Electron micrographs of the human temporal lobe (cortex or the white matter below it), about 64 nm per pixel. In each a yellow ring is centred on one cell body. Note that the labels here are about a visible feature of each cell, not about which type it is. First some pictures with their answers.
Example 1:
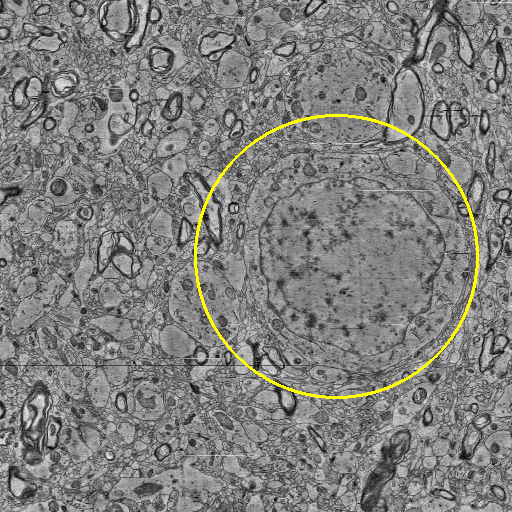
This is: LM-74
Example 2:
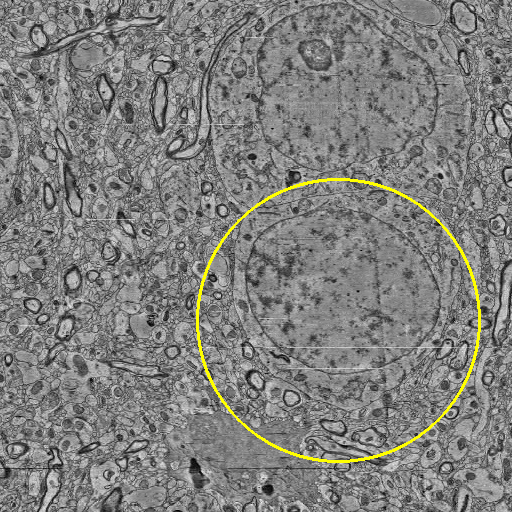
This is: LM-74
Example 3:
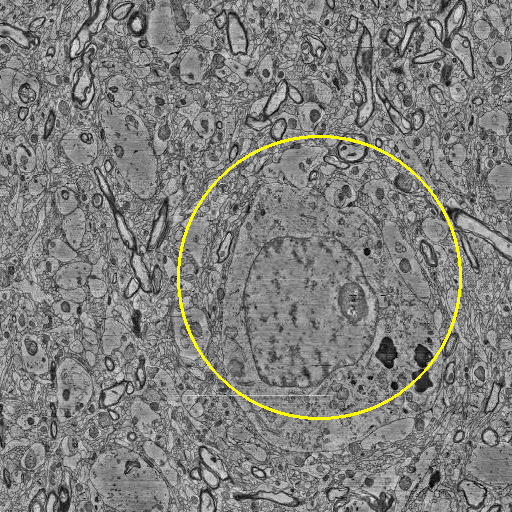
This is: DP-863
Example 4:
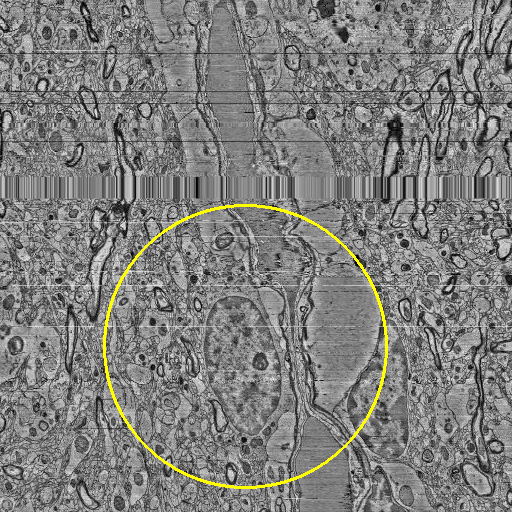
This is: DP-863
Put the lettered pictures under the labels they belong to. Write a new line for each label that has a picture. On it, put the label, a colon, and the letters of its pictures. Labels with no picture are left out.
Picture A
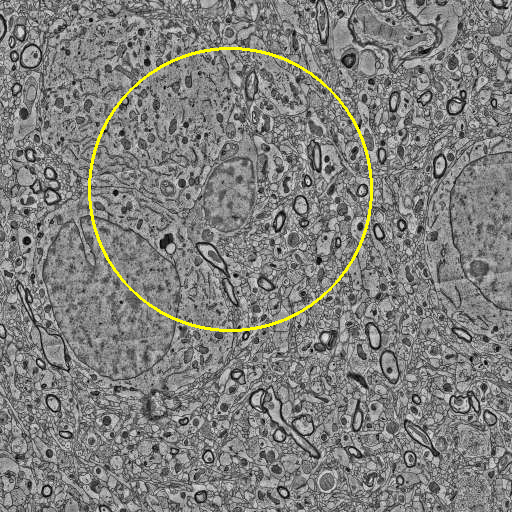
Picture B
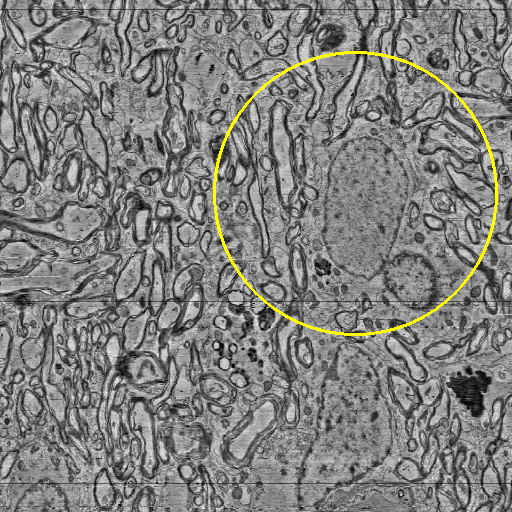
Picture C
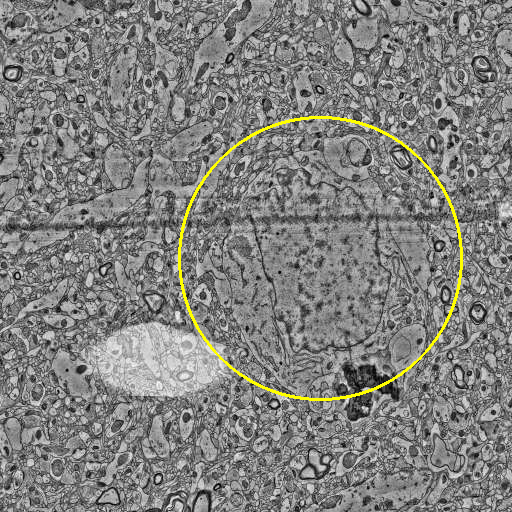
LM-74: A, B, C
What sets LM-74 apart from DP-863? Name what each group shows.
LM-74: no nucleolus seen; DP-863: nucleolus seen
